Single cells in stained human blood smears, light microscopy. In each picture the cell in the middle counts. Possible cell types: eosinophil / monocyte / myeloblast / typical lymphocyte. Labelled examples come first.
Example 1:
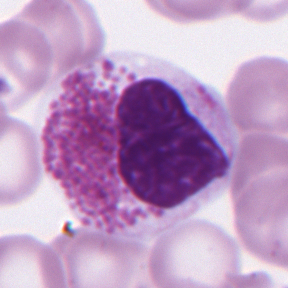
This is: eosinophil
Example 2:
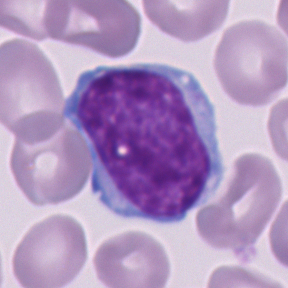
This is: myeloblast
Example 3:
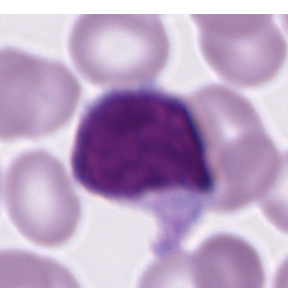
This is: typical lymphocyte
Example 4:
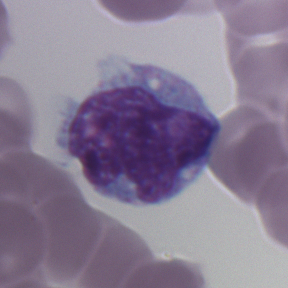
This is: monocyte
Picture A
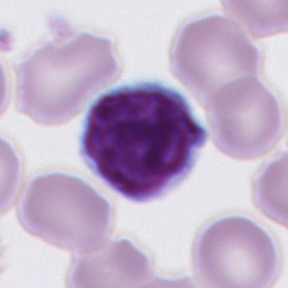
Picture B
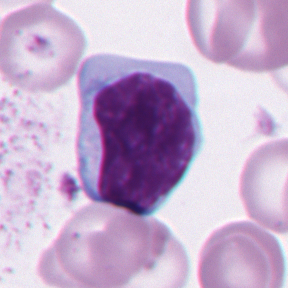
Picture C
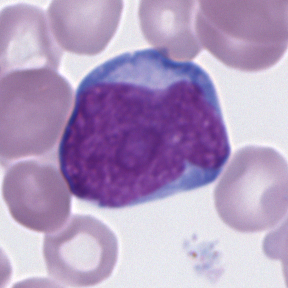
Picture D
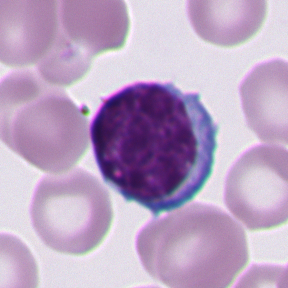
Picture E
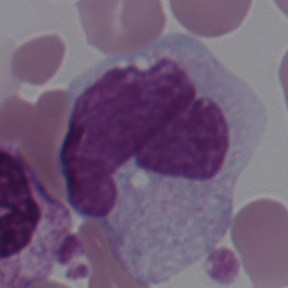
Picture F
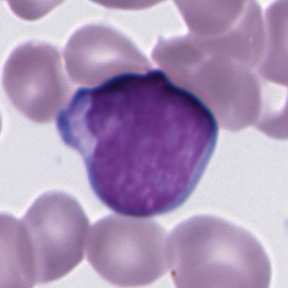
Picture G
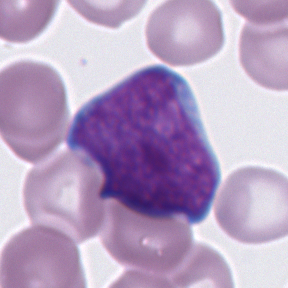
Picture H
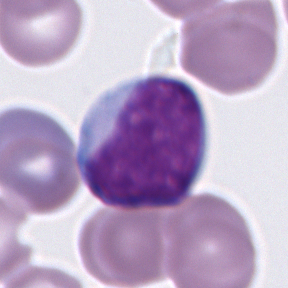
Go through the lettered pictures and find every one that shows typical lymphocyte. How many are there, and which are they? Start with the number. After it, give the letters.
3: A, B, D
